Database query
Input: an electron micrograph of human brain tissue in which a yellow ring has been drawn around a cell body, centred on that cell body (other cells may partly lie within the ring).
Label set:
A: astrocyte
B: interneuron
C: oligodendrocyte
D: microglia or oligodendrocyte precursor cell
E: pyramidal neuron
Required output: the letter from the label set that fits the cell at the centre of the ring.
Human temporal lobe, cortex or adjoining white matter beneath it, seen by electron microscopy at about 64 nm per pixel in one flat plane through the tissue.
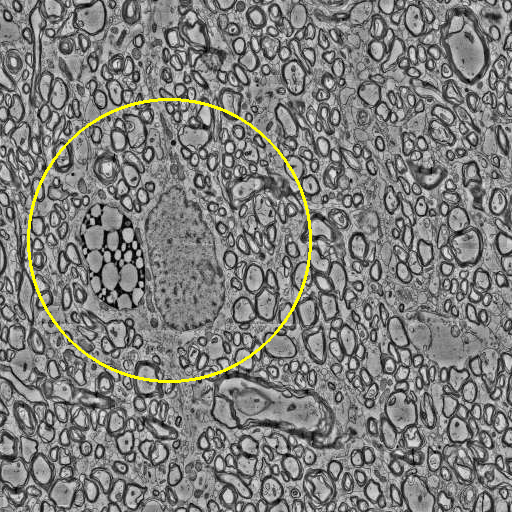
A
